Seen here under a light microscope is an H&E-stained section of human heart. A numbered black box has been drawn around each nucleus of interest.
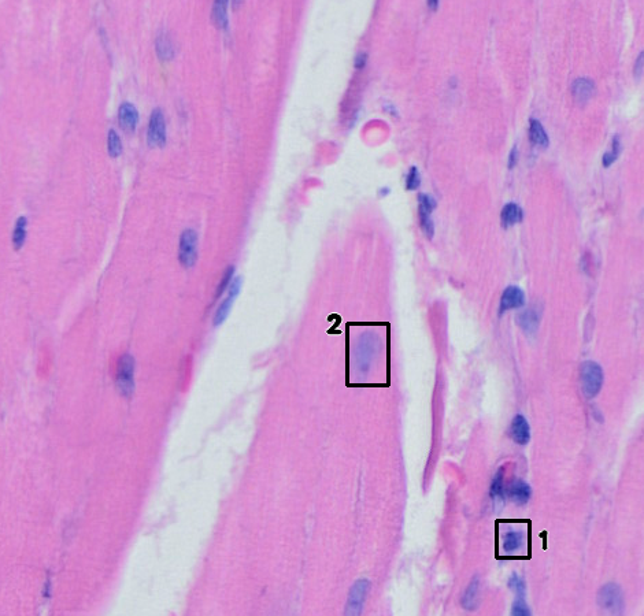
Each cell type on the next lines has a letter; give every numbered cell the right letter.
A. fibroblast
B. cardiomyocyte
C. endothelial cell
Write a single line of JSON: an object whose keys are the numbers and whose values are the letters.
{"1": "A", "2": "B"}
